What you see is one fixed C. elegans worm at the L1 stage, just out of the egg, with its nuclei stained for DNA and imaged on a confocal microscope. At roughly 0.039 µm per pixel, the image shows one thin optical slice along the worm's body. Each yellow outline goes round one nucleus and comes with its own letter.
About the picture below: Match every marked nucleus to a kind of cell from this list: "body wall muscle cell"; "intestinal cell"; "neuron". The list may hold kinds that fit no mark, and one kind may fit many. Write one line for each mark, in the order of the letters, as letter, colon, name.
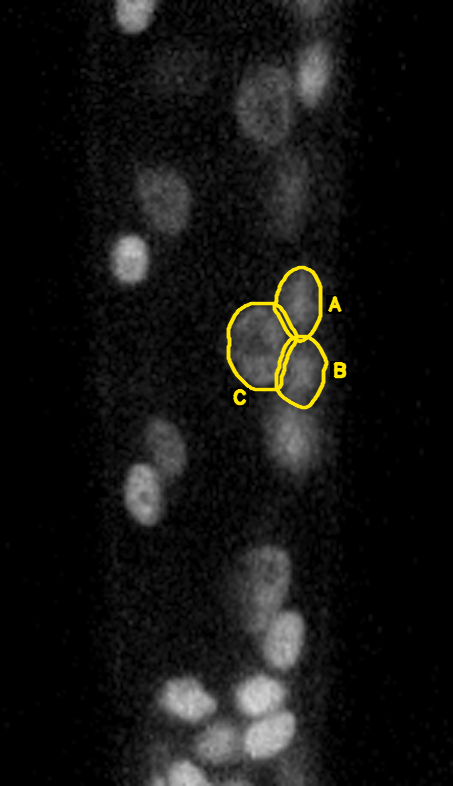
A: neuron
B: neuron
C: intestinal cell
